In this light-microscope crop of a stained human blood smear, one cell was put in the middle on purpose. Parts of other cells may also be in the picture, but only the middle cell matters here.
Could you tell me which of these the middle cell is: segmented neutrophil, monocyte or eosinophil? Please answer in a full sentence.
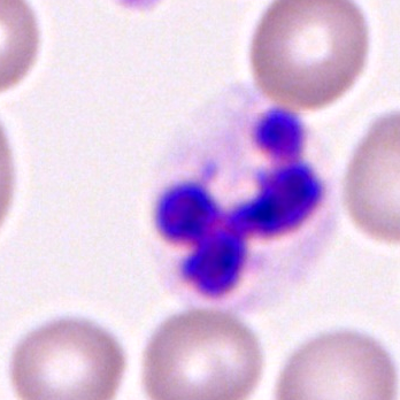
Of the cells in this crop, the central one is a segmented neutrophil.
